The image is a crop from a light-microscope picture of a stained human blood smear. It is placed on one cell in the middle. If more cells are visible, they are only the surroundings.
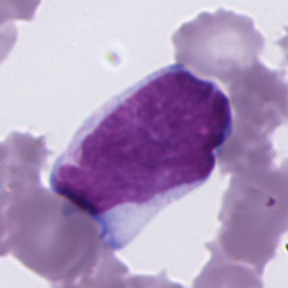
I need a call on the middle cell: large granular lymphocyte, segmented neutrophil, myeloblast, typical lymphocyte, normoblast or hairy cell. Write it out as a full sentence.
The cell that lies at the centre of the crop is a myeloblast.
